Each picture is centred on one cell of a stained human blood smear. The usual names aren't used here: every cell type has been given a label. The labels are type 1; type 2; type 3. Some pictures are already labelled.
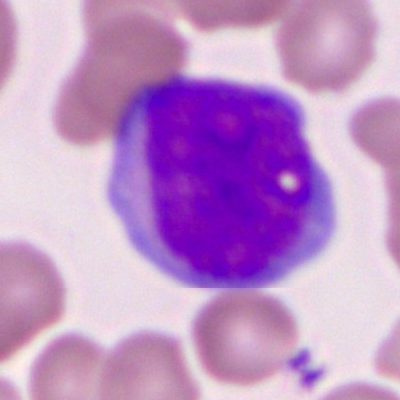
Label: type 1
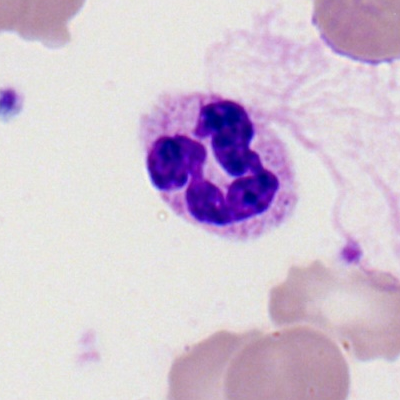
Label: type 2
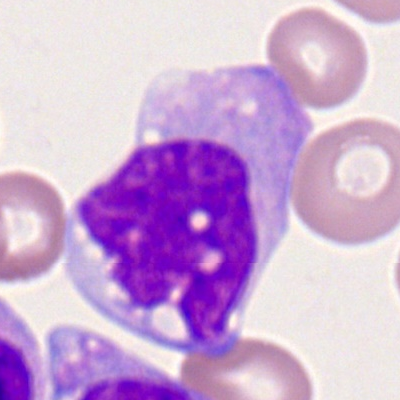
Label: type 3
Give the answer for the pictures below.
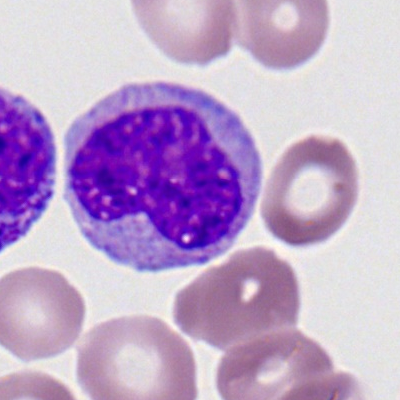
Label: type 3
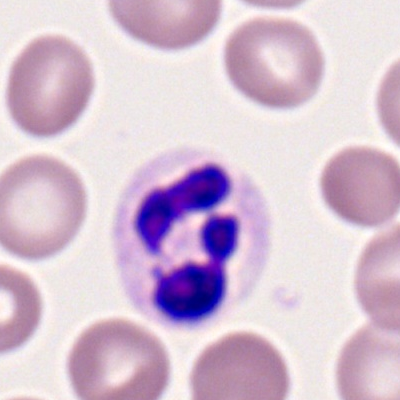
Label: type 2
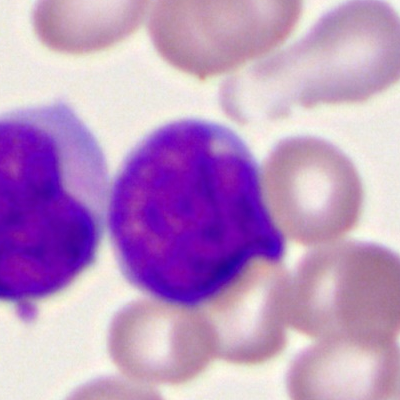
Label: type 1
